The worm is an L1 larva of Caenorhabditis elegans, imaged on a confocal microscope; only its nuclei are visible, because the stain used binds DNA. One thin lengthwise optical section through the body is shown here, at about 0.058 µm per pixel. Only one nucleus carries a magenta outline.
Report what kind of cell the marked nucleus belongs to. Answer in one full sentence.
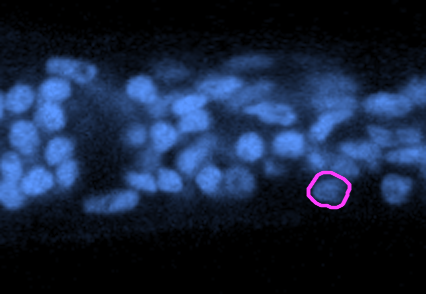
The marked cell is a body wall muscle cell.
